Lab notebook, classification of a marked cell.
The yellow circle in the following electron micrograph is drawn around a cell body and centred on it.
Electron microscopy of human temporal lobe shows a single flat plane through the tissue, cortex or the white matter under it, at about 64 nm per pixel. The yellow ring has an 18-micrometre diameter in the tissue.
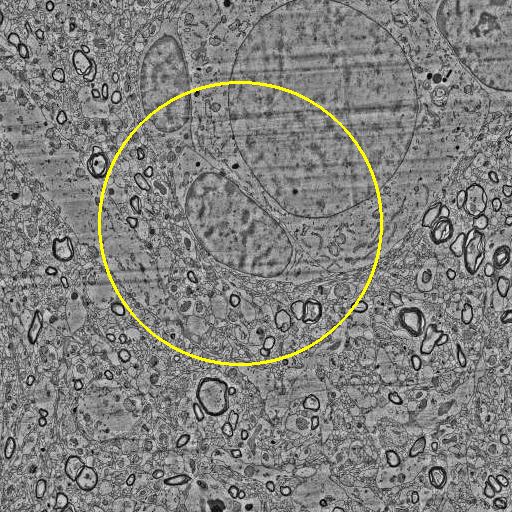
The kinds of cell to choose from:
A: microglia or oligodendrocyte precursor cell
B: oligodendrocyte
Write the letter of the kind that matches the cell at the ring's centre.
A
